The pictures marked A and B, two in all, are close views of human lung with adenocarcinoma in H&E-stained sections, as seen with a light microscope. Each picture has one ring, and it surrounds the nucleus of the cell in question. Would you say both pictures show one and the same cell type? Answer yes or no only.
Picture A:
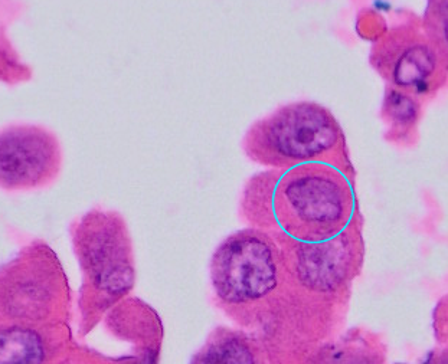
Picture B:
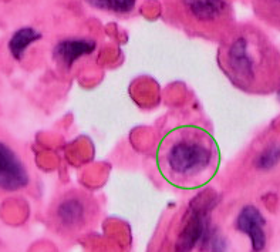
no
